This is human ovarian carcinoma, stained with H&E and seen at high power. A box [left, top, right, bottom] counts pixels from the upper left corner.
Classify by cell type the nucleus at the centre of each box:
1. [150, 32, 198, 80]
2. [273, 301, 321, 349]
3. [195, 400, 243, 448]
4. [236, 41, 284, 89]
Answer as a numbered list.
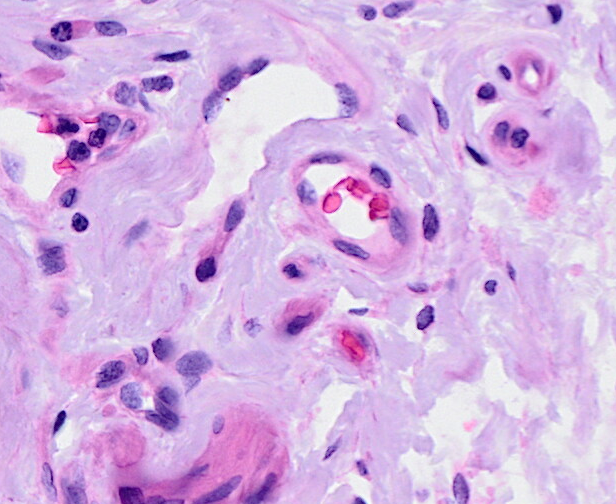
1. fibroblast
2. smooth muscle cell
3. smooth muscle cell
4. endothelial cell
